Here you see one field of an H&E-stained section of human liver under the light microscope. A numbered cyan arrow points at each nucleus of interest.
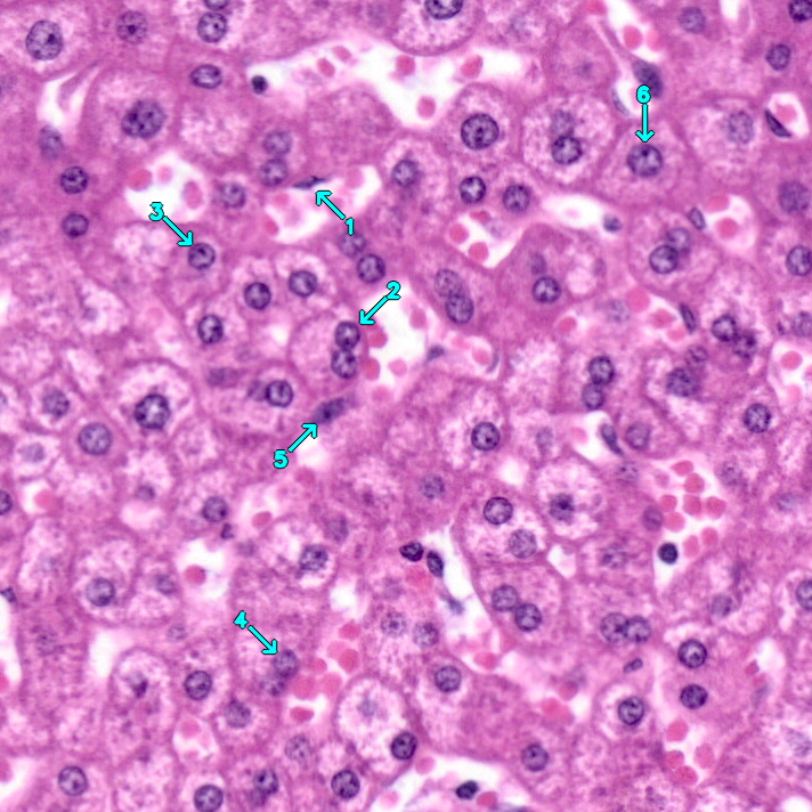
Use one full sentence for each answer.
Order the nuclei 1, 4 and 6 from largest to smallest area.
By area, largest first, they run 6, 4, 1.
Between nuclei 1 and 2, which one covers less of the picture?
It is nucleus 1; nucleus 2 has about 2.5 times its area.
